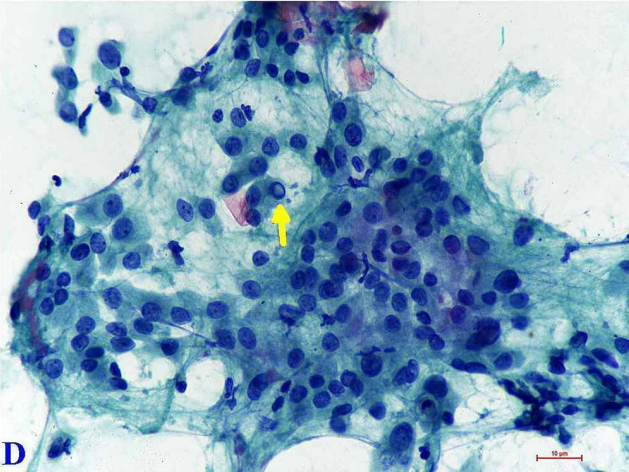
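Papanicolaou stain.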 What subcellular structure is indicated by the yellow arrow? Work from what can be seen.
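The arrow points to a nucleus with a small round, sharply demarcated body inside it. The body is outlined by a dark nuclear rim. So: intranuclear inclusion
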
